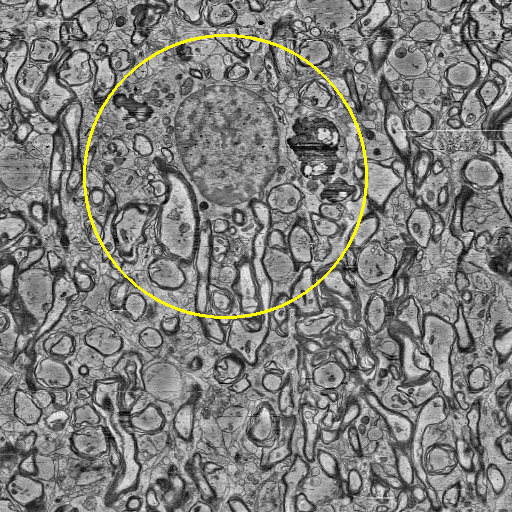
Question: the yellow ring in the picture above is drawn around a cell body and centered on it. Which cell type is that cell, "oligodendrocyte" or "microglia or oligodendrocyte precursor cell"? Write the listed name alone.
oligodendrocyte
